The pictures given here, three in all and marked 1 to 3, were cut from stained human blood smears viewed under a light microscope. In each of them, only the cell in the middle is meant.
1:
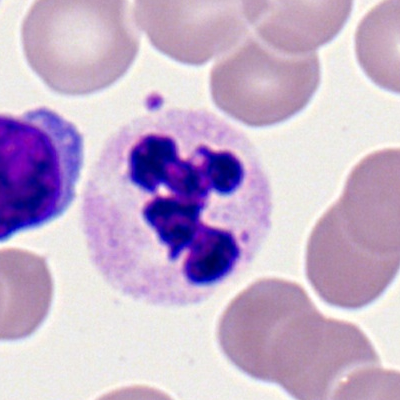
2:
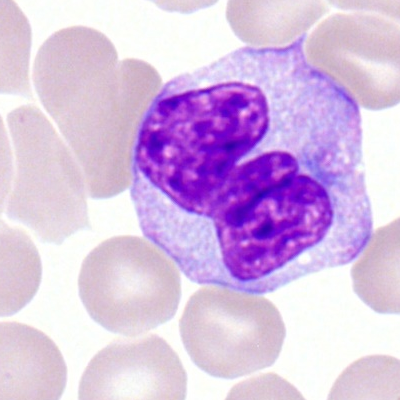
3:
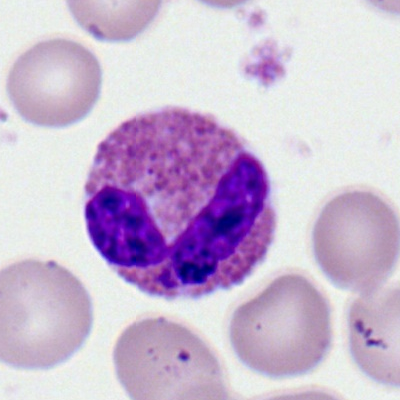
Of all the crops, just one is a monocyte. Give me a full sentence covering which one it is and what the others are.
Crop 2 is the one showing a monocyte, whereas crop 1 is a segmented neutrophil and crop 3 is an eosinophil.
